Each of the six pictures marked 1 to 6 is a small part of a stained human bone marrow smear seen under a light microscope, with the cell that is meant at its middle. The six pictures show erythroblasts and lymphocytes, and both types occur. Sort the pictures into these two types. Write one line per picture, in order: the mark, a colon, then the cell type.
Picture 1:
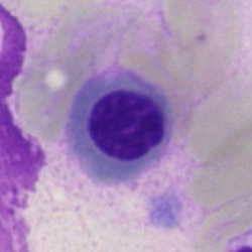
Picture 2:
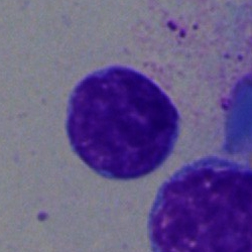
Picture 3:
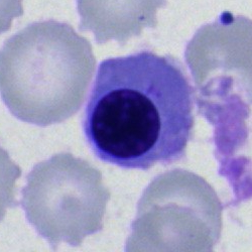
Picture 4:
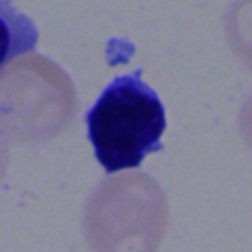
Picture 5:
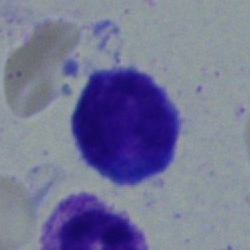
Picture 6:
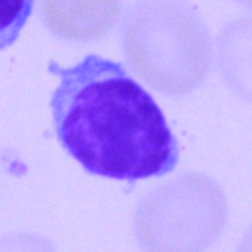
1: erythroblast
2: lymphocyte
3: erythroblast
4: lymphocyte
5: lymphocyte
6: lymphocyte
